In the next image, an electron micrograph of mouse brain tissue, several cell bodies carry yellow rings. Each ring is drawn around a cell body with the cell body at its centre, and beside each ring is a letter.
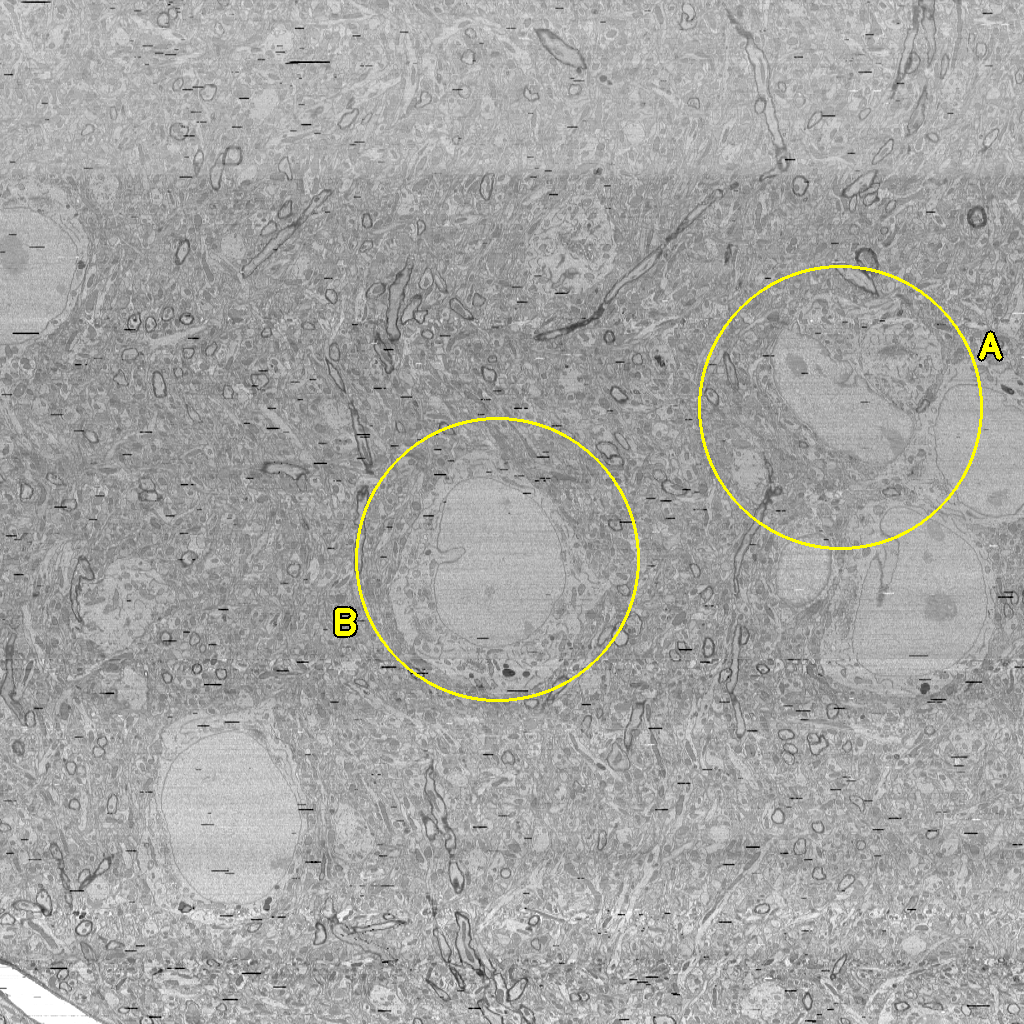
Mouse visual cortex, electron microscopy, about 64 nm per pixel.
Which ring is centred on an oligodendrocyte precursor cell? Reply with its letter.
A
